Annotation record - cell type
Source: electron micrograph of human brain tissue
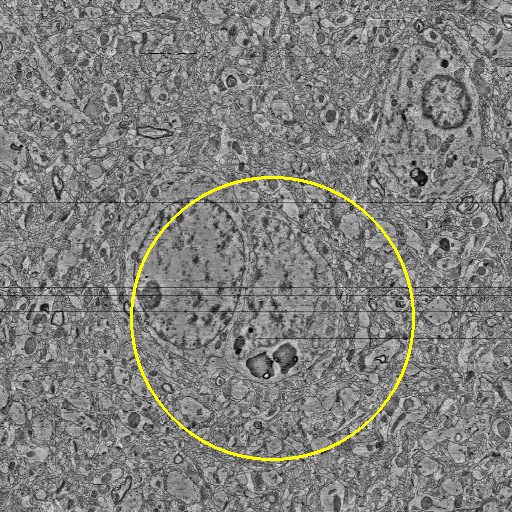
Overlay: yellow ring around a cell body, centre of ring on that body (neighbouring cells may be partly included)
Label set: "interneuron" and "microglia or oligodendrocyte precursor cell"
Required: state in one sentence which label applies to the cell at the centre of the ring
This cell should be labelled as an interneuron.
